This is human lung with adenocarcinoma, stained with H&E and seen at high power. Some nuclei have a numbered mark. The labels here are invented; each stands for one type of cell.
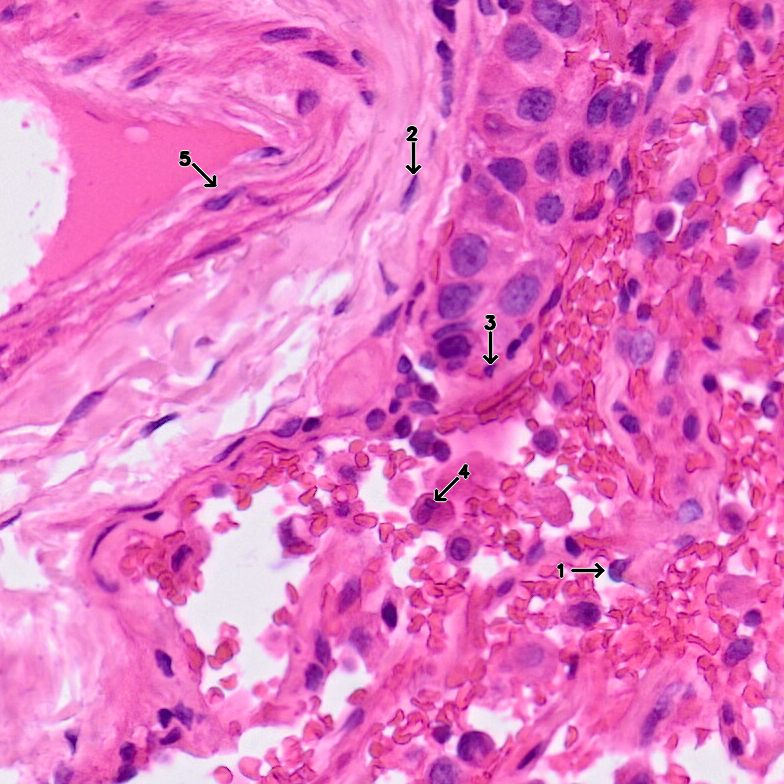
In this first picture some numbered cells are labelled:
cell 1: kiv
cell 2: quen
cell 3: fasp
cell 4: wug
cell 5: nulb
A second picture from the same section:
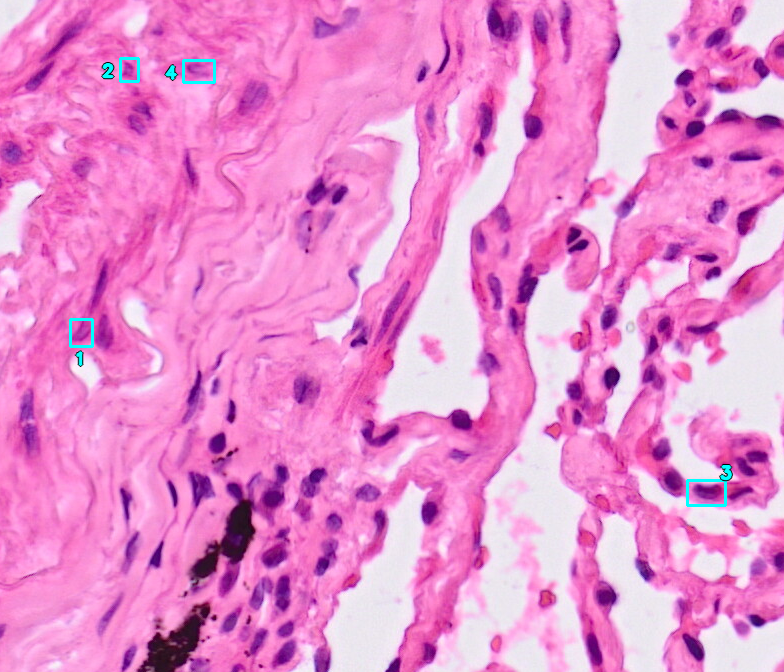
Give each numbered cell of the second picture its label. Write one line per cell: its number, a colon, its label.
1: nulb
2: nulb
3: kiv
4: nulb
